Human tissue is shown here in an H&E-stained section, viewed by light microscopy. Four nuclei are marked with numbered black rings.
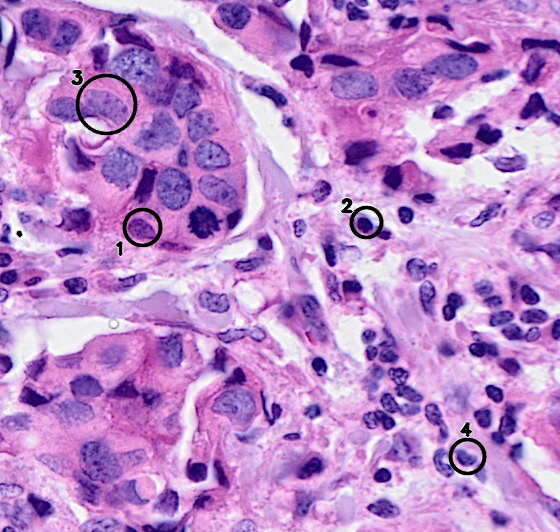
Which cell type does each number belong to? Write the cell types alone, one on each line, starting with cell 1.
carcinoma cell
lymphocyte
carcinoma cell
lymphocyte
